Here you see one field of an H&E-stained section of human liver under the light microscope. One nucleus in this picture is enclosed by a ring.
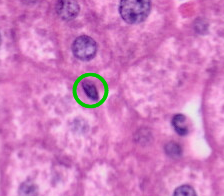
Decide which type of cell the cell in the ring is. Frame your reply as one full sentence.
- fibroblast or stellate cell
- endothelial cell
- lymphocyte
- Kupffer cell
Labelled by cell type, the cell in the ring is a fibroblast or stellate cell.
